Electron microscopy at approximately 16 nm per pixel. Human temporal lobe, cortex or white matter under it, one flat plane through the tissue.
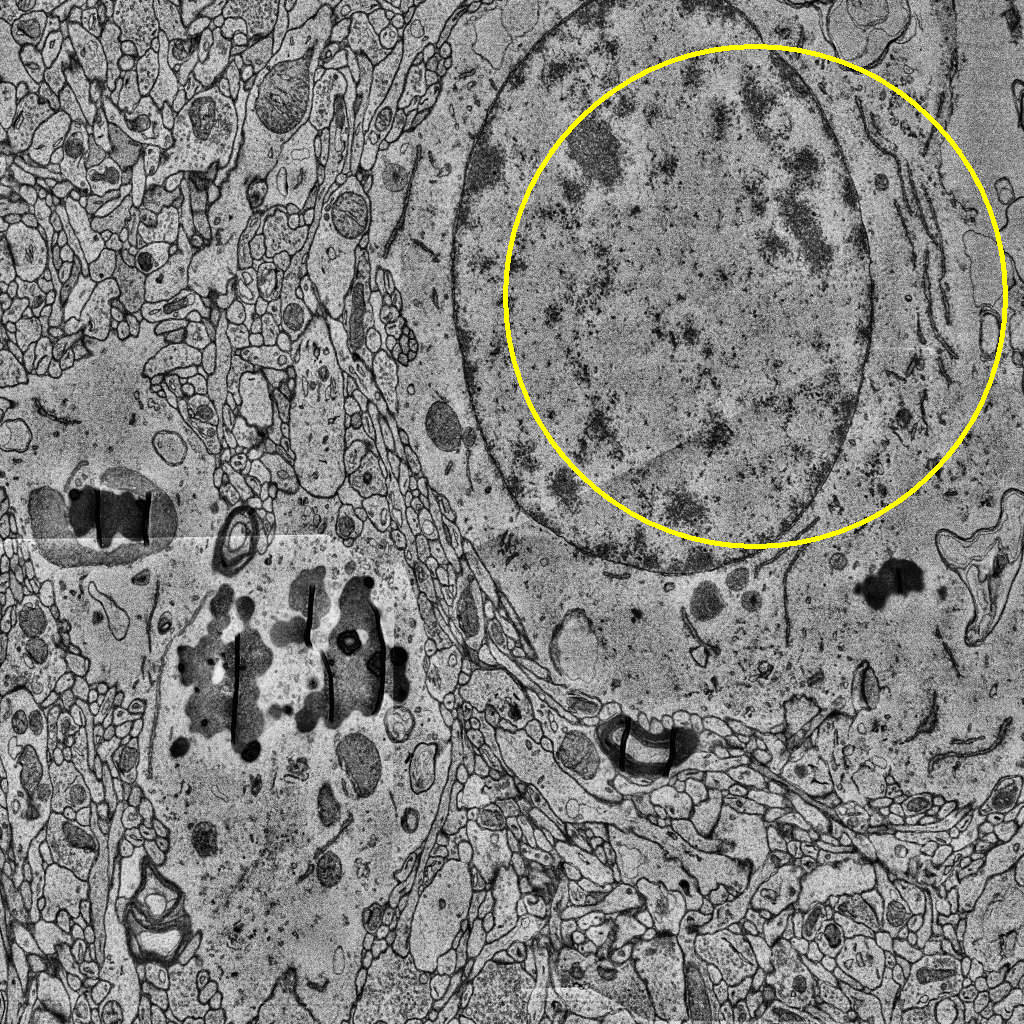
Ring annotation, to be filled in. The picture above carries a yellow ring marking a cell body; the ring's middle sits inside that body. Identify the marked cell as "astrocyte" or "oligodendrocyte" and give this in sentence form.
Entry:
The cell at the middle of the ring is an astrocyte.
